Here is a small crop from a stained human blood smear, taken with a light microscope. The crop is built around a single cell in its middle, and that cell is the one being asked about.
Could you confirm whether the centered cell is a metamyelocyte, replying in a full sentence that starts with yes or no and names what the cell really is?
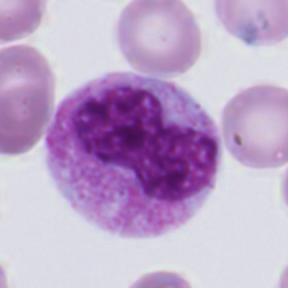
No, the central cell is counted as a band neutrophil instead of a metamyelocyte.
